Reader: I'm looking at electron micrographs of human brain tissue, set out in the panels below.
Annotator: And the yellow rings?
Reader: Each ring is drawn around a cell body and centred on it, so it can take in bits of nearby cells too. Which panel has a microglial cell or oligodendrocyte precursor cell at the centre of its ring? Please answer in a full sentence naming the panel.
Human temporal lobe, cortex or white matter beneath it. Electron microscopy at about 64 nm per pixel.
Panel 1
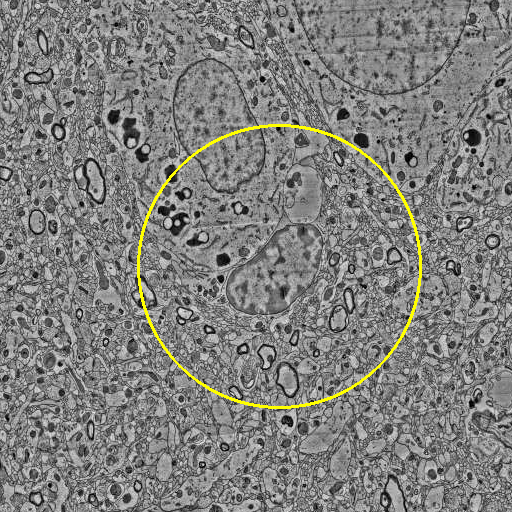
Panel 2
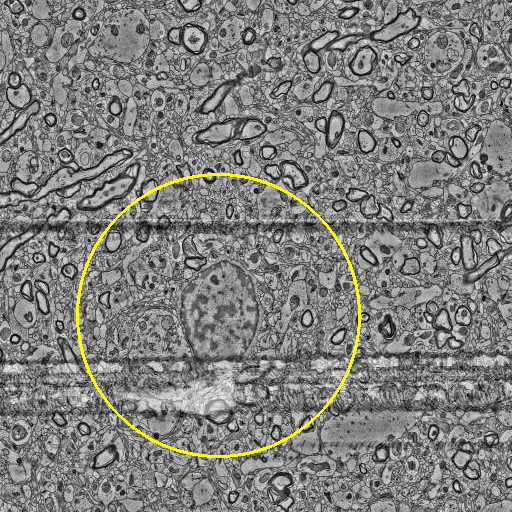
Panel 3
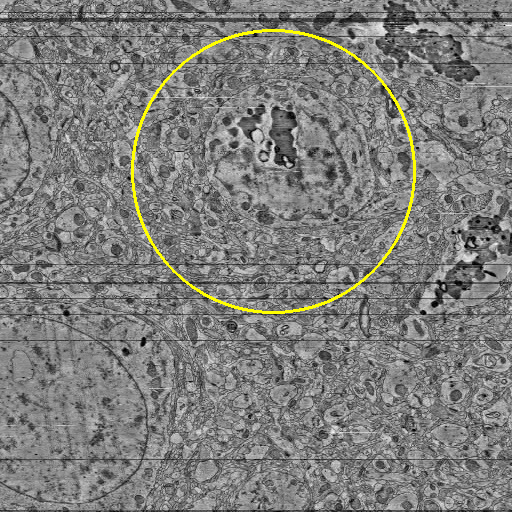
Panel 1 has it at the centre of its ring.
